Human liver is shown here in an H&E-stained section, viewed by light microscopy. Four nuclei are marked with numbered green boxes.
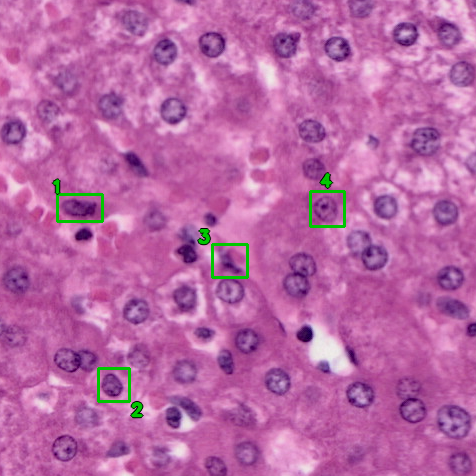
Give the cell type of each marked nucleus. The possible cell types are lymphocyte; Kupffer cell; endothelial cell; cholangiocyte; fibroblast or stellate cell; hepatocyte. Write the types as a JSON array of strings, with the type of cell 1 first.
["Kupffer cell", "hepatocyte", "fibroblast or stellate cell", "hepatocyte"]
